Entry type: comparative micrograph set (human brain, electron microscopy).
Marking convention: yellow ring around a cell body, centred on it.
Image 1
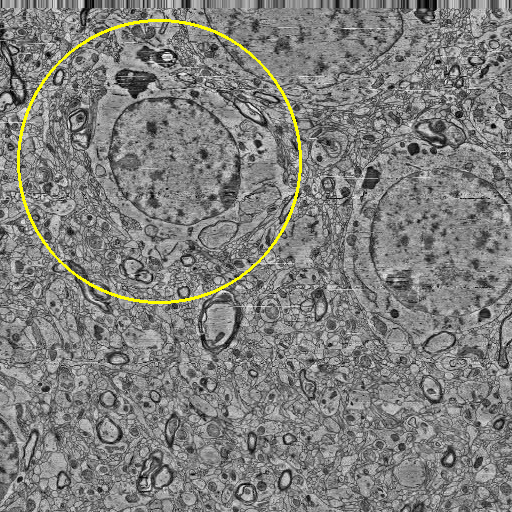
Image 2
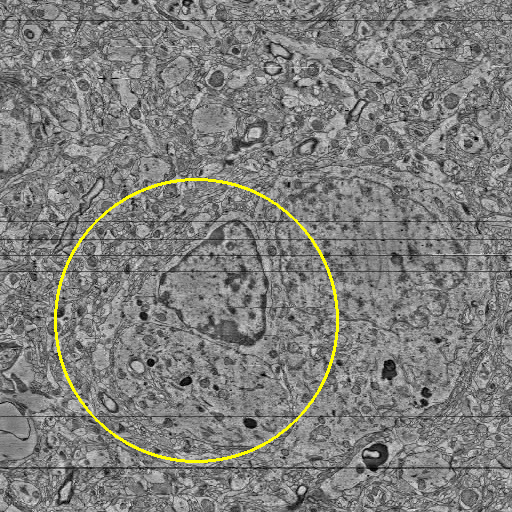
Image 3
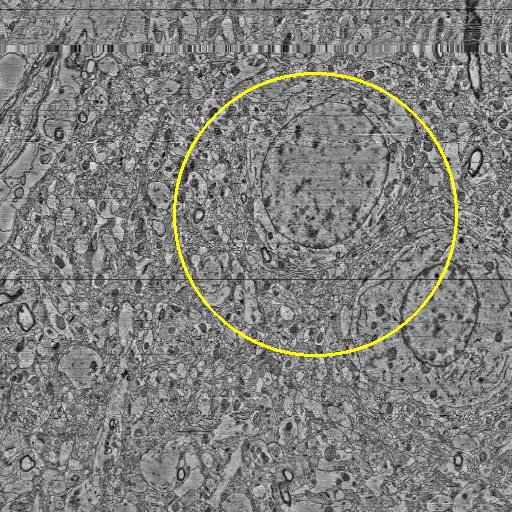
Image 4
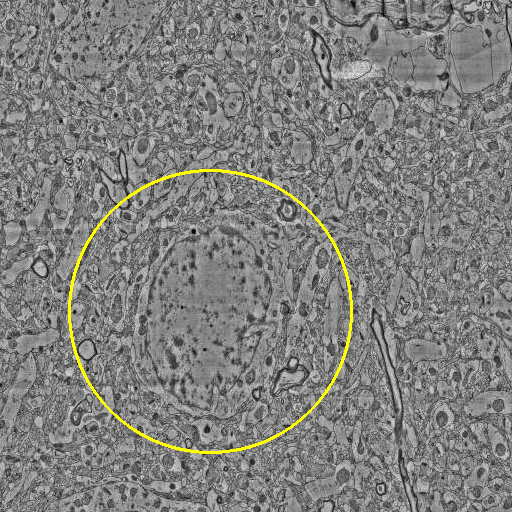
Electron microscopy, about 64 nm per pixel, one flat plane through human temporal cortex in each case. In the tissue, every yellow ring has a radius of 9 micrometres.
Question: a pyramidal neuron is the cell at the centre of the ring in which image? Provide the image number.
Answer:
3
